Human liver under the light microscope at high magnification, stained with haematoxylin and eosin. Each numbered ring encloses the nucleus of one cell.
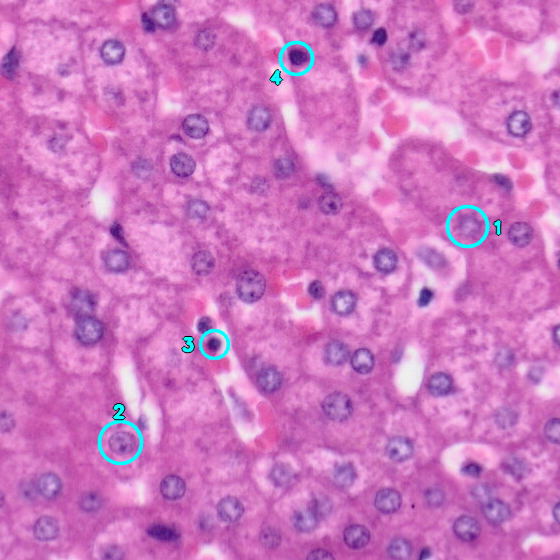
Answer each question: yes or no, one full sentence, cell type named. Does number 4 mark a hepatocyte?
No, it is a fibroblast or stellate cell, not a hepatocyte, at number 4.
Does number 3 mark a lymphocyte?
Yes, cell 3 is a lymphocyte in this tissue section.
